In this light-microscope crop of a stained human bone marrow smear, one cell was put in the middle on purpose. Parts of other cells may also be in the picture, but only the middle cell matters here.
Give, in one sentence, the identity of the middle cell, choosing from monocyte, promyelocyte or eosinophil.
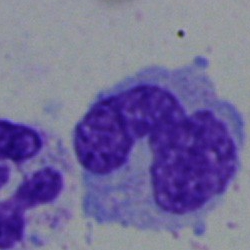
The cell at the middle of the crop is recognized as a monocyte.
